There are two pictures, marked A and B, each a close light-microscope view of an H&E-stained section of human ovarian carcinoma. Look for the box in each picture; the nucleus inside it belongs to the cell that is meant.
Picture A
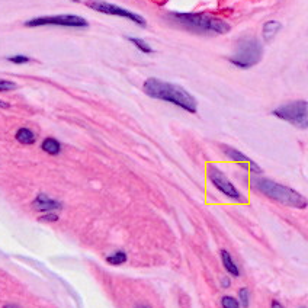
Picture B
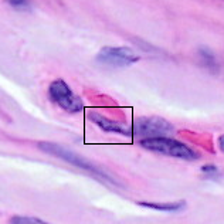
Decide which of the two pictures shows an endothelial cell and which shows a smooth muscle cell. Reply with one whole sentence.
It is picture A that shows a smooth muscle cell, and picture B that shows an endothelial cell.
